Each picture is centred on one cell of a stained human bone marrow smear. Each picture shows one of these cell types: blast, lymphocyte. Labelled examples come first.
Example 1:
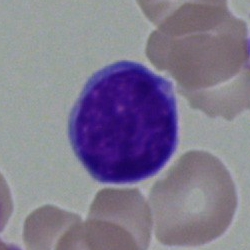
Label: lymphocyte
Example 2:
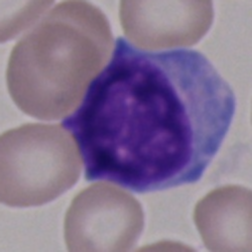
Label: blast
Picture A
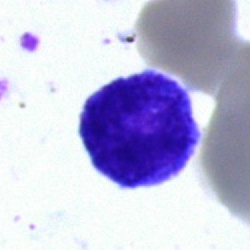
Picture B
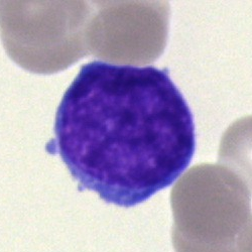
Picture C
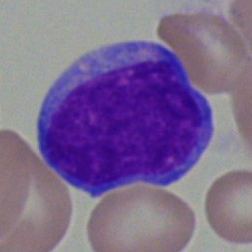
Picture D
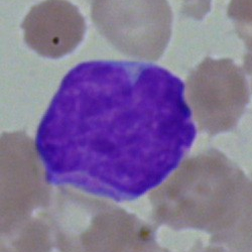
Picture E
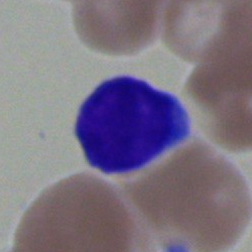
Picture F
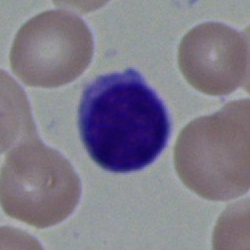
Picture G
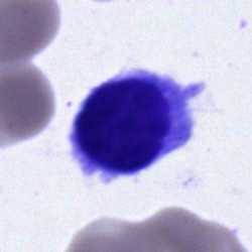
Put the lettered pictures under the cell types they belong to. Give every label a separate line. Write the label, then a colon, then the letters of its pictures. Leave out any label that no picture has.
blast: B, C, D
lymphocyte: A, E, F, G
